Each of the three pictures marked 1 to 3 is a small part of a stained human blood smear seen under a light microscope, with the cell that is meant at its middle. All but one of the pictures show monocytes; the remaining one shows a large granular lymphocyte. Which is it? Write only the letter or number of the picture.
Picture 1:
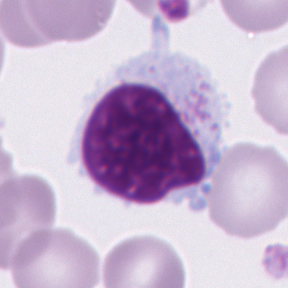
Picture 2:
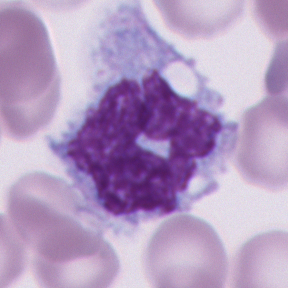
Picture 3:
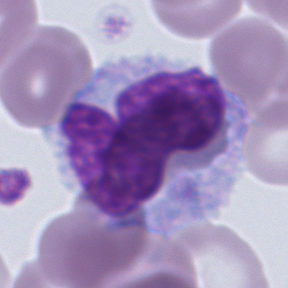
1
